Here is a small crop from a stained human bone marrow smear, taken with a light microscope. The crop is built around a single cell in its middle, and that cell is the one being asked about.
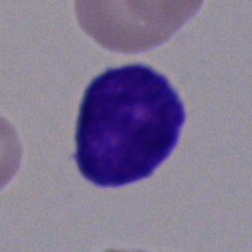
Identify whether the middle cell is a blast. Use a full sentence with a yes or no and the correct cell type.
Yes, a blast is what the central cell is.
